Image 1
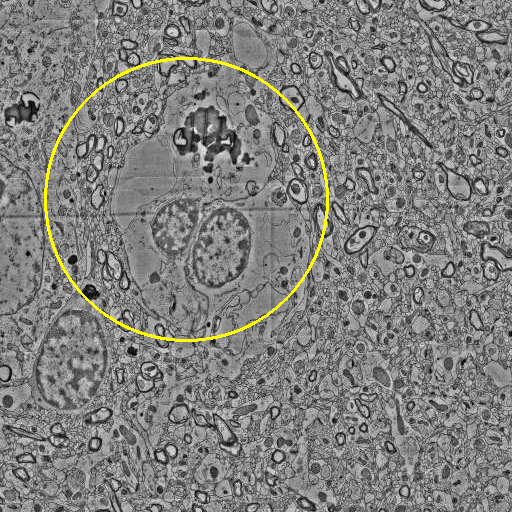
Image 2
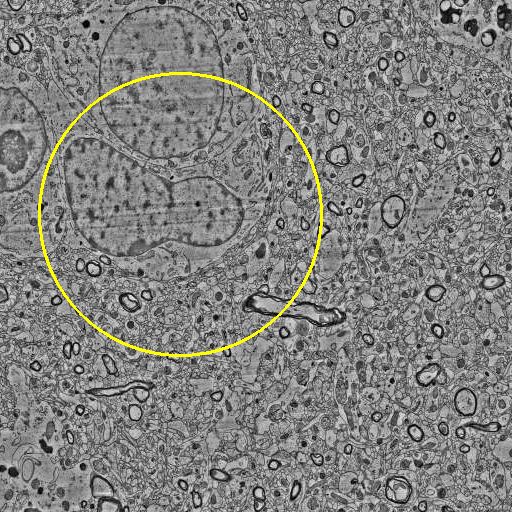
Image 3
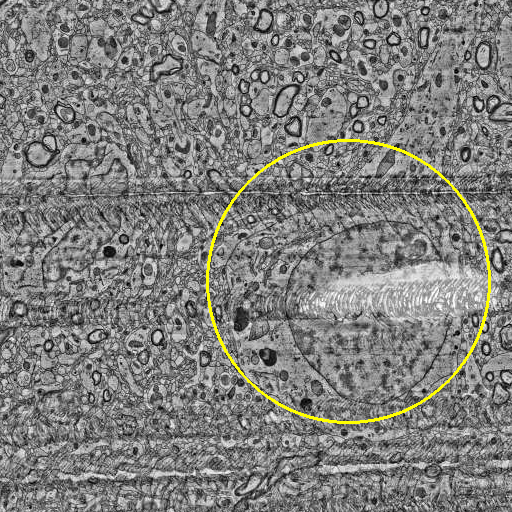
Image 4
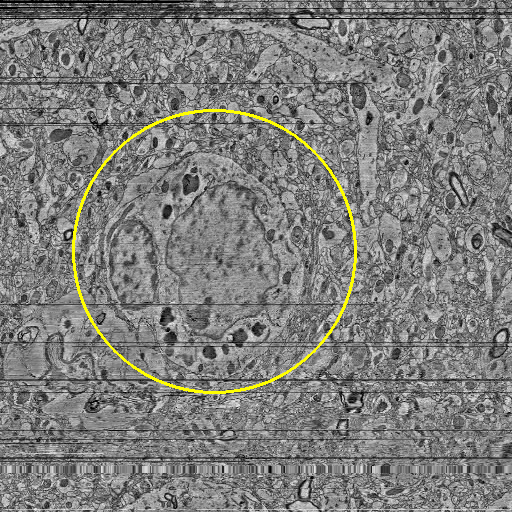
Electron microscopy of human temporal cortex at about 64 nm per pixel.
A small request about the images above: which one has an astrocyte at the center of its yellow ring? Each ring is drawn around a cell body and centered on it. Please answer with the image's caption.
Image 1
